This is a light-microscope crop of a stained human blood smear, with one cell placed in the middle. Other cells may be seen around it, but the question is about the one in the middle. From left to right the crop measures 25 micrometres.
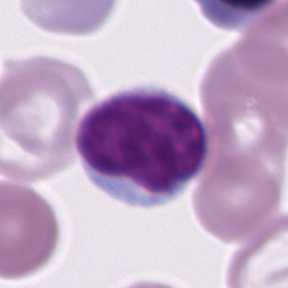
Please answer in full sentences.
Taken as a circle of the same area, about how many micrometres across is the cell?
The cell is about 11 micrometres across.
